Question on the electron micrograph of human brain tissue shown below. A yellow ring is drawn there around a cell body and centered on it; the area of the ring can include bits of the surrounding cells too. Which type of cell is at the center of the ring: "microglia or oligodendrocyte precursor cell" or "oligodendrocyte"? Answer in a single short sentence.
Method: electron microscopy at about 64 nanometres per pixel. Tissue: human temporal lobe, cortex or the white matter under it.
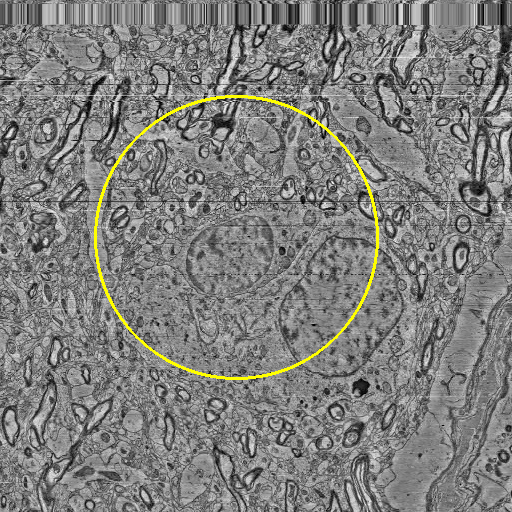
The ring is centered on an oligodendrocyte.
